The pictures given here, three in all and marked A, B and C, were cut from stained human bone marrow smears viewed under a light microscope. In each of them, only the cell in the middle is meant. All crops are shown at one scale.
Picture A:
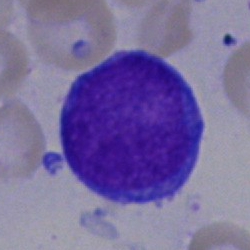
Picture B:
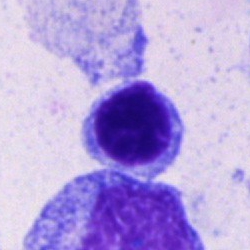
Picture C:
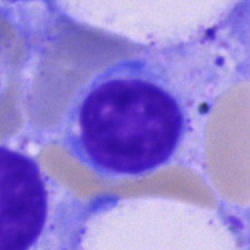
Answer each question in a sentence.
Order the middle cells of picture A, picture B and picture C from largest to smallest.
Largest first: A, C, B.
